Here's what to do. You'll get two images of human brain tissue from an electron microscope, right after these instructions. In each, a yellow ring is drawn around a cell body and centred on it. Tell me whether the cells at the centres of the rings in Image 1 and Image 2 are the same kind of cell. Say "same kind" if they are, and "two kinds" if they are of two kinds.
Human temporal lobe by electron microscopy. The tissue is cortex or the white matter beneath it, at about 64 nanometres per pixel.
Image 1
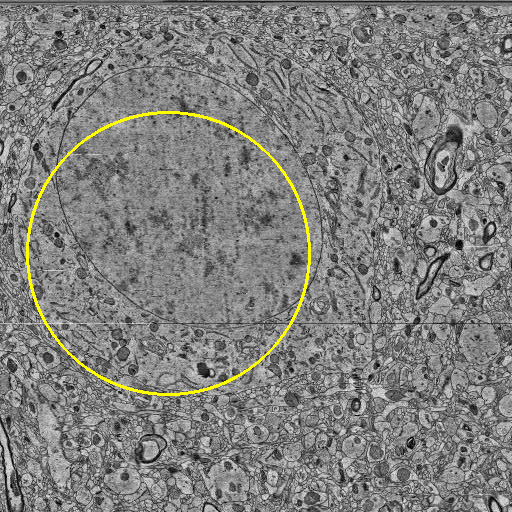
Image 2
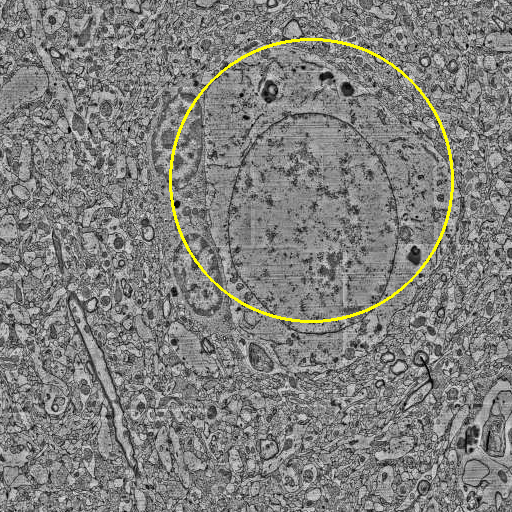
same kind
